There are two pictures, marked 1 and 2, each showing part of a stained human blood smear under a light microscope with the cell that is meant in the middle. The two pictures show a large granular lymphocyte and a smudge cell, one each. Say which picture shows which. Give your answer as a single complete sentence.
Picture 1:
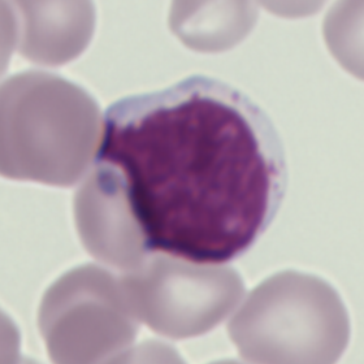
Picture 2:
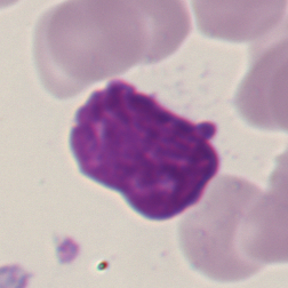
The cell in picture 1 is a large granular lymphocyte, and the one in picture 2 is a smudge cell.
